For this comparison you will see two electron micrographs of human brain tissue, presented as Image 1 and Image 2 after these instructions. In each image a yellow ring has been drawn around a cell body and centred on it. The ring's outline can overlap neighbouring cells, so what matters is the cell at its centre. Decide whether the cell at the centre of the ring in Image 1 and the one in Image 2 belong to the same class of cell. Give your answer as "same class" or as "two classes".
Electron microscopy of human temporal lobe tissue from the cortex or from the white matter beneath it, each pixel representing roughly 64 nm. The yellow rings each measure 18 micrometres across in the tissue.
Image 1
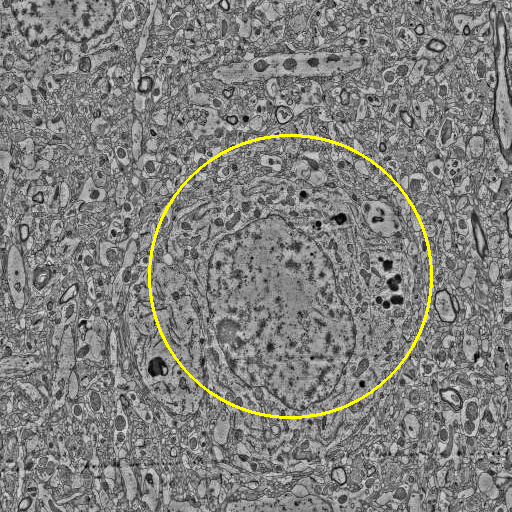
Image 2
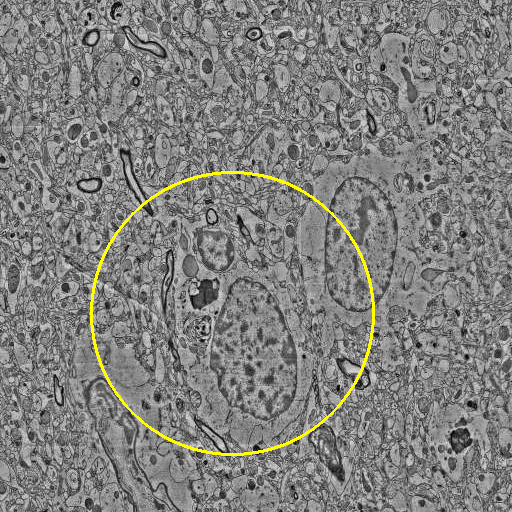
two classes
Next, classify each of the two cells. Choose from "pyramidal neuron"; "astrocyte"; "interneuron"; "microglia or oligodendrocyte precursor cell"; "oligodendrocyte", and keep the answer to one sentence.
In the first picture it is an interneuron; in the second it is an astrocyte.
